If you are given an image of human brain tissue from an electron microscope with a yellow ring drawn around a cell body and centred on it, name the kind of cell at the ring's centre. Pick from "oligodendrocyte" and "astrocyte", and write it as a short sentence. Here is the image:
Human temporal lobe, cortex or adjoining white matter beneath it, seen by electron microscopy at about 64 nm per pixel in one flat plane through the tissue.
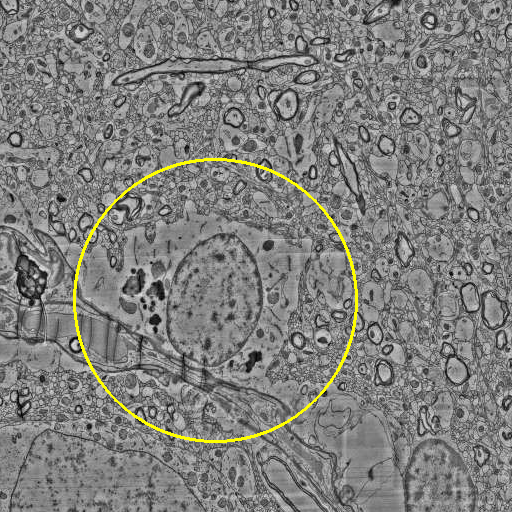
The cell at the ring's centre is an astrocyte.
